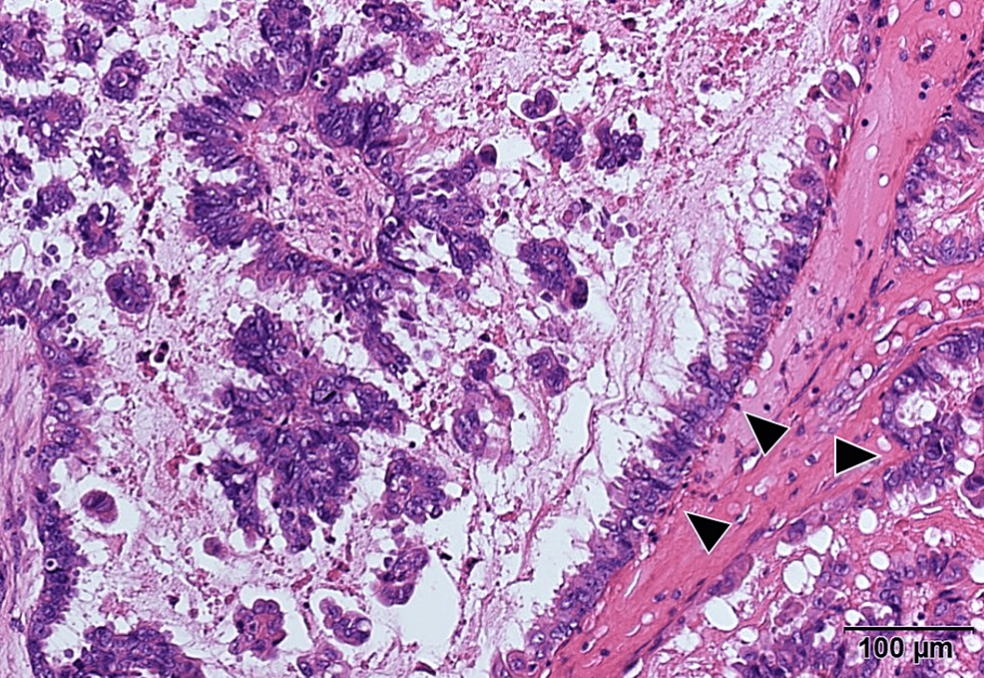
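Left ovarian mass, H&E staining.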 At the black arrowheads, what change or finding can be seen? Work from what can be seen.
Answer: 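The arrowheads lie on a pink fibrous band of stroma. The epithelial lining beside the band has a smooth, continuous border. No epithelial cell nests sit inside the pink band. The answer: without stromal invasion.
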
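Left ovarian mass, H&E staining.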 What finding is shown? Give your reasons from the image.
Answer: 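Epithelial cells are crowded and stratified into several layers. Epithelium forms branching papillary tufts and detached cell clusters. Nuclei are enlarged, hyperchromatic and irregular in size. On this evidence: epithelial proliferation and atypia.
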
